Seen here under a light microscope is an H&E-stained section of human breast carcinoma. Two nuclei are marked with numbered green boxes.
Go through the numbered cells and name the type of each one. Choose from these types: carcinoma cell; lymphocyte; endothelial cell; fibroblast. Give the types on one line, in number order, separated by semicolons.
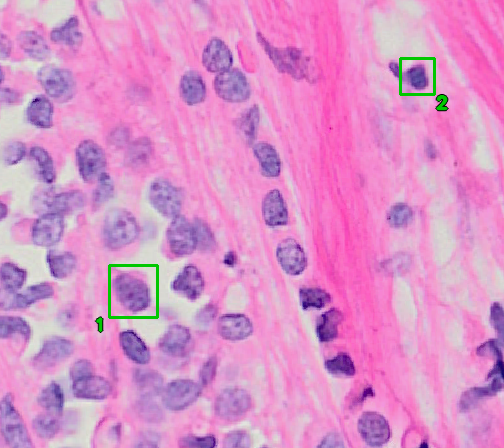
carcinoma cell; lymphocyte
